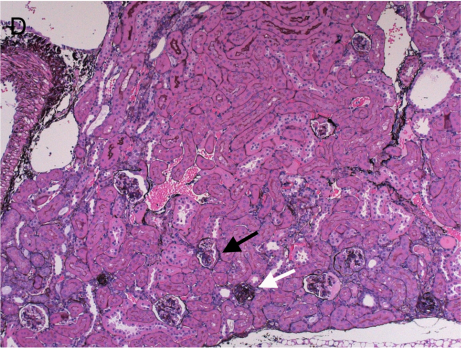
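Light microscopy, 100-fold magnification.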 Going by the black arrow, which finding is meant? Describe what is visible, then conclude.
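Segmental glomerulosclerosis. The glomerulus at the black arrow has a dark, dense part while the rest of the tuft is paler. It is less uniformly dark than the glomerulus at the white arrow.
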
